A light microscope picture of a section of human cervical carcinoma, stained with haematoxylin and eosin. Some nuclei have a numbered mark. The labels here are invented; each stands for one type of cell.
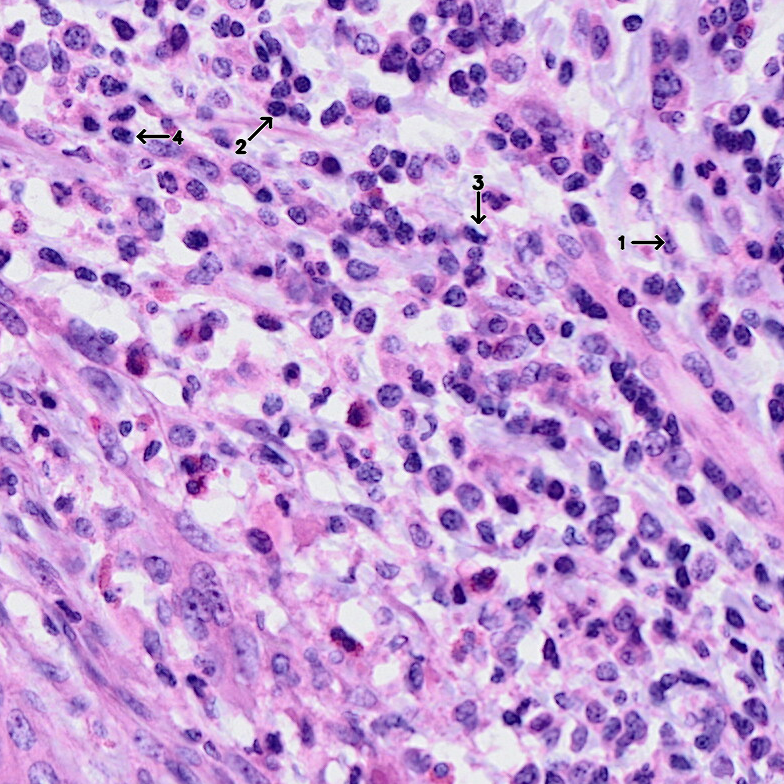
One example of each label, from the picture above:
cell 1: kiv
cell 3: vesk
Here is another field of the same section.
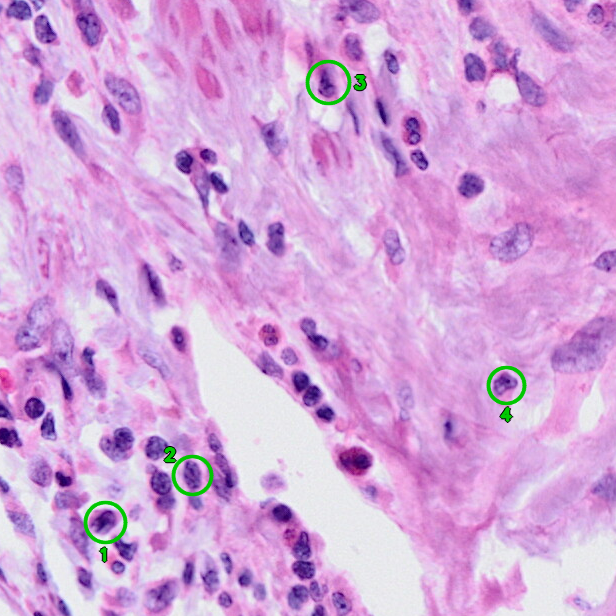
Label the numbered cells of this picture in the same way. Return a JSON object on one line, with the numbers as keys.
{"1": "vesk", "2": "vesk", "3": "kiv", "4": "kiv"}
